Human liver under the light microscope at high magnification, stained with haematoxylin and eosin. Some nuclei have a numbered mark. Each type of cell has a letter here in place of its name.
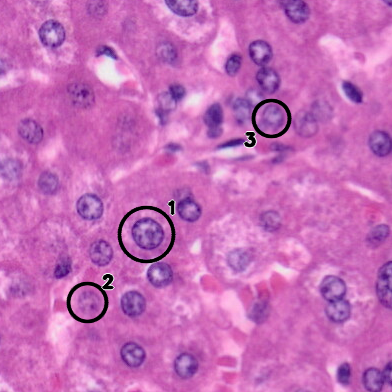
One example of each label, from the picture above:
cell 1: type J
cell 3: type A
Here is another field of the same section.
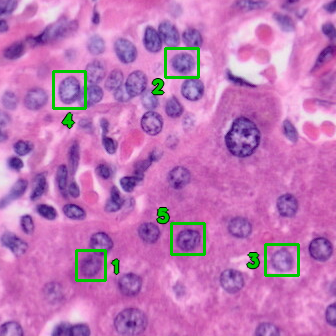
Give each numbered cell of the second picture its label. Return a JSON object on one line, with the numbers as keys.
{"1": "type J", "2": "type A", "3": "type J", "4": "type A", "5": "type J"}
